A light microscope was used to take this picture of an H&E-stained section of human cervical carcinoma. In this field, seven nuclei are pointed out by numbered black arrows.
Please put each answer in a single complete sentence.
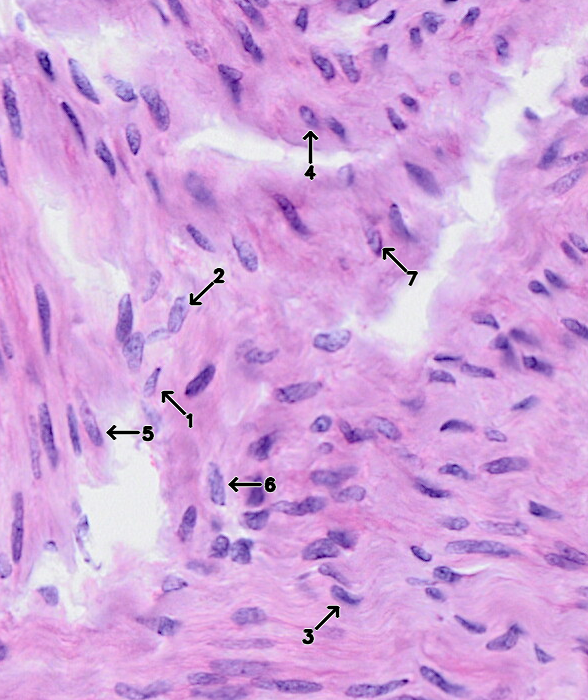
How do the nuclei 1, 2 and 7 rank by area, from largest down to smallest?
Largest first, the order by area is 2, 7, 1.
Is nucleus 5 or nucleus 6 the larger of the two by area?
Nucleus 6 covers more area, about 2 times as much as nucleus 5.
